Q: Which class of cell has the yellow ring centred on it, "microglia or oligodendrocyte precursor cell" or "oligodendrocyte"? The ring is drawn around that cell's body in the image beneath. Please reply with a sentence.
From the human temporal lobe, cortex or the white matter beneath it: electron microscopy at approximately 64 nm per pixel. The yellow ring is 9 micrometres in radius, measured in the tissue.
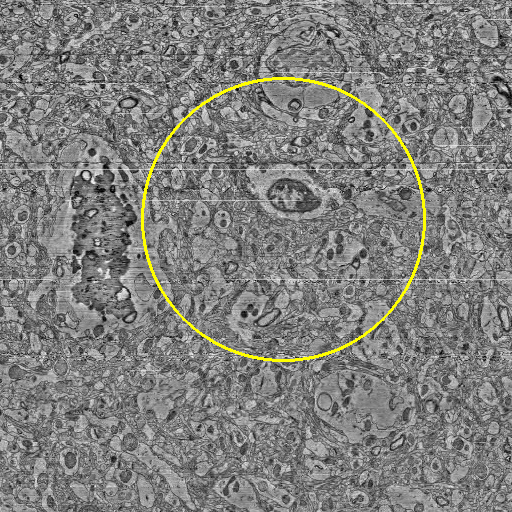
It is centred on a microglial cell or oligodendrocyte precursor cell.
